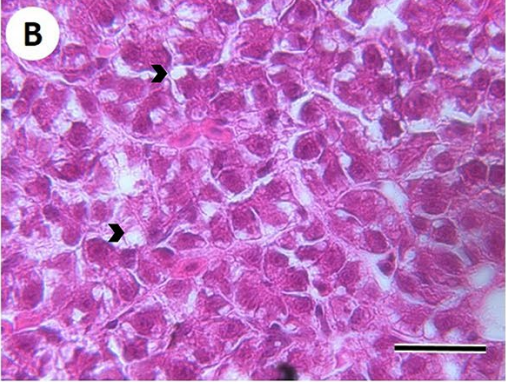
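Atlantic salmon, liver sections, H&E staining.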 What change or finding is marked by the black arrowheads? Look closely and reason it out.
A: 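Small clear spaces appear within the polygonal cells. The arrowheads point at clear spaces.
Answer: vacuolization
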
